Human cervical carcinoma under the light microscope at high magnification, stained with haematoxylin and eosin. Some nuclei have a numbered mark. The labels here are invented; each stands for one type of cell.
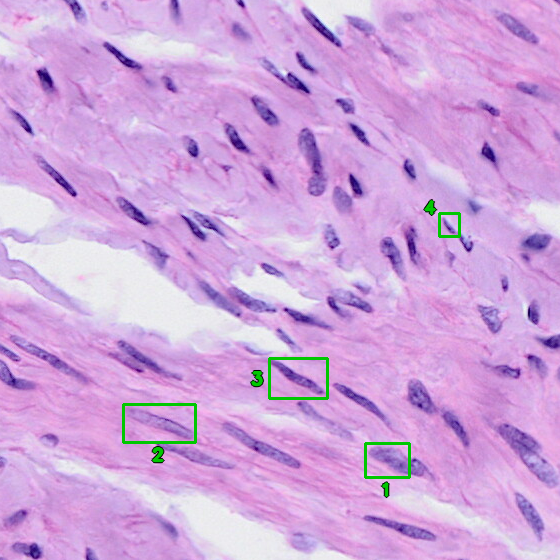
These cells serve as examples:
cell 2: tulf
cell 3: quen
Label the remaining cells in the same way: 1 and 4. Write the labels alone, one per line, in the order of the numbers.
quen
quen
